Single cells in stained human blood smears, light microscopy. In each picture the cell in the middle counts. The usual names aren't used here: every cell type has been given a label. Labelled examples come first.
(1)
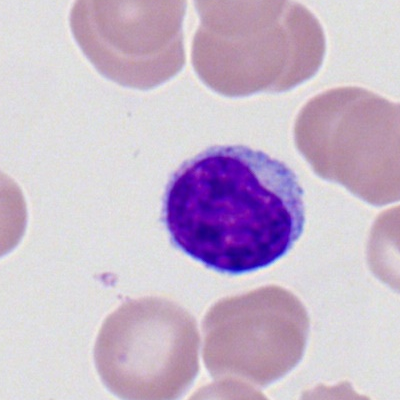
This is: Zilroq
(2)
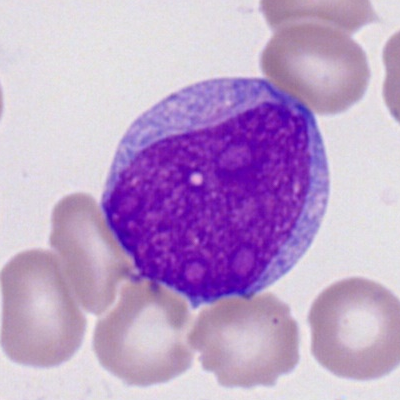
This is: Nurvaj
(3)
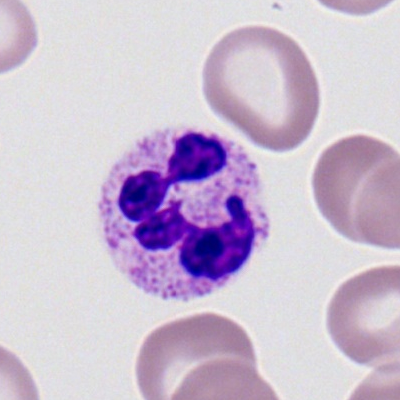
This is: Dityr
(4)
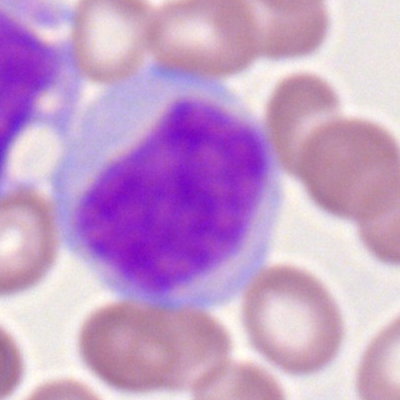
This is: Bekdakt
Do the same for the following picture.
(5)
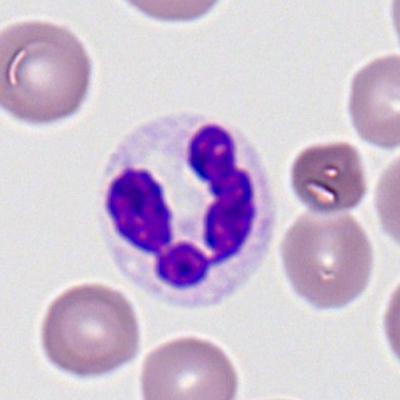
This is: Dityr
